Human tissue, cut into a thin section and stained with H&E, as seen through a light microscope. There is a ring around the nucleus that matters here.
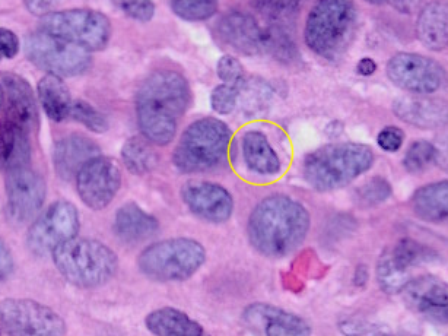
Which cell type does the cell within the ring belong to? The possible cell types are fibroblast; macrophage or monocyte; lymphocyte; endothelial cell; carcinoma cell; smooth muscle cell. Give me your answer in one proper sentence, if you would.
In this section, the cell within the ring is a macrophage or monocyte.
